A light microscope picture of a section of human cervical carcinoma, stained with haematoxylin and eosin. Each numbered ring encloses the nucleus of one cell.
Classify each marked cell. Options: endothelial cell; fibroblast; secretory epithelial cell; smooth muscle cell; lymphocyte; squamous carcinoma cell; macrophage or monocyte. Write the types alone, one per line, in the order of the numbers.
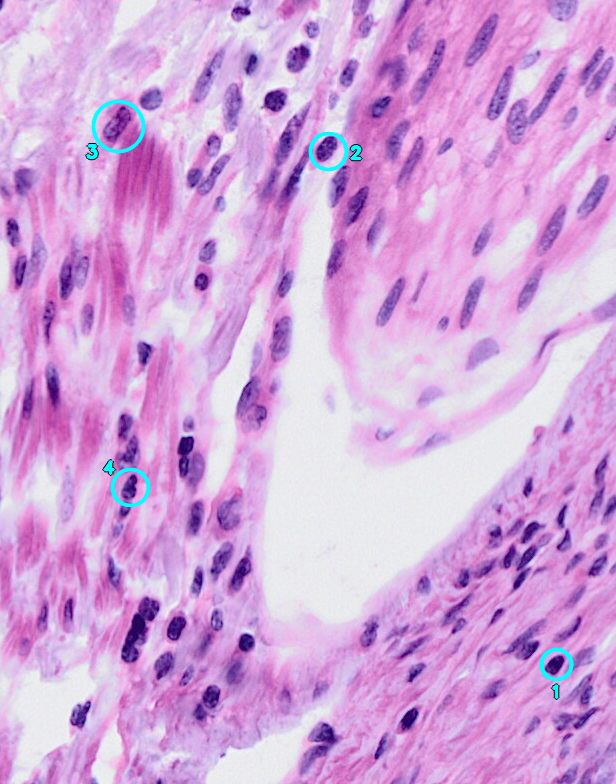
lymphocyte
lymphocyte
macrophage or monocyte
lymphocyte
